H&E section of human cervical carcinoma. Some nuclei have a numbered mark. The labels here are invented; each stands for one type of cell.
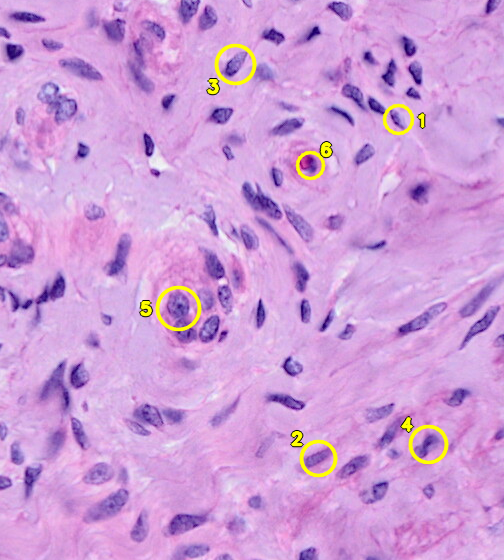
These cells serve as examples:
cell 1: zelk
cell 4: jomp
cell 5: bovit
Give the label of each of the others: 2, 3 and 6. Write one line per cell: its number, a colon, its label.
2: jomp
3: zelk
6: bovit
